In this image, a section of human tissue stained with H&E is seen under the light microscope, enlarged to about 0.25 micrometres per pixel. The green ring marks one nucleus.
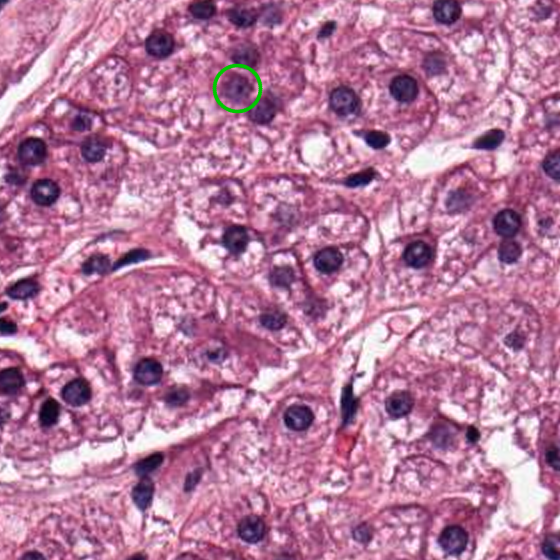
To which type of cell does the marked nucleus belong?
adrenal cortical cell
